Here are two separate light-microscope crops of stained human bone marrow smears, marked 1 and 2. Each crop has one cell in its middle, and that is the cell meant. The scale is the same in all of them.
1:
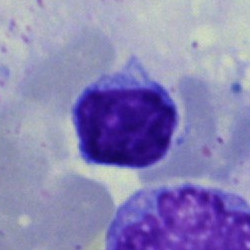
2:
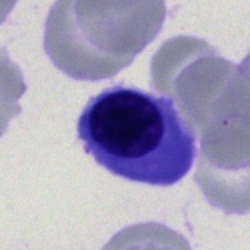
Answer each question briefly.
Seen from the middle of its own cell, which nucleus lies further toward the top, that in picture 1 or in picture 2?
2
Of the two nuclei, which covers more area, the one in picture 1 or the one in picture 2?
1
